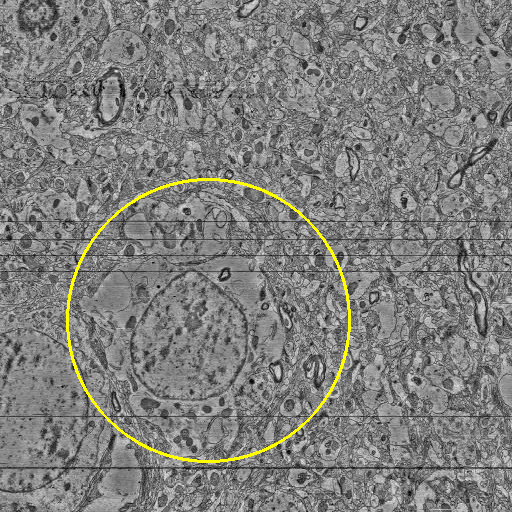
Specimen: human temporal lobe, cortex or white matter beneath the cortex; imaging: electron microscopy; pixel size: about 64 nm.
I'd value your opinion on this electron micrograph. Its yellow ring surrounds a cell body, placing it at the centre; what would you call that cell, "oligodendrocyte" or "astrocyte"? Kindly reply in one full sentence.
It is an astrocyte that sits centred within the yellow ring in this micrograph.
